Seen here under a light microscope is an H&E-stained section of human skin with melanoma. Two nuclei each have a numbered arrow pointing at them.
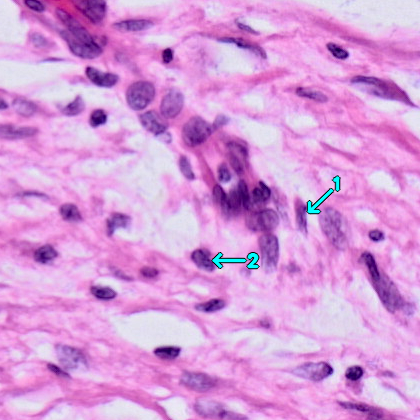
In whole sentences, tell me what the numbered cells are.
Cell 1 is a fibroblast or myofibroblast and cell 2 is a macrophage or monocyte.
